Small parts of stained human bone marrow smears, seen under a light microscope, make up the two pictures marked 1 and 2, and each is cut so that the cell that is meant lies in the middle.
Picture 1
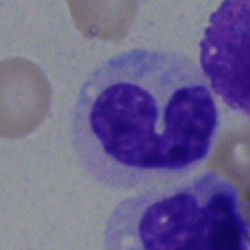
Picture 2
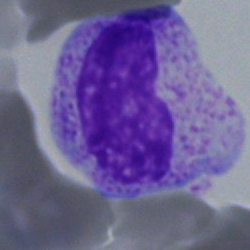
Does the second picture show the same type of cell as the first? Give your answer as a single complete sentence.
No, the types are not the same, since picture 1 shows a band neutrophil and picture 2 a metamyelocyte.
